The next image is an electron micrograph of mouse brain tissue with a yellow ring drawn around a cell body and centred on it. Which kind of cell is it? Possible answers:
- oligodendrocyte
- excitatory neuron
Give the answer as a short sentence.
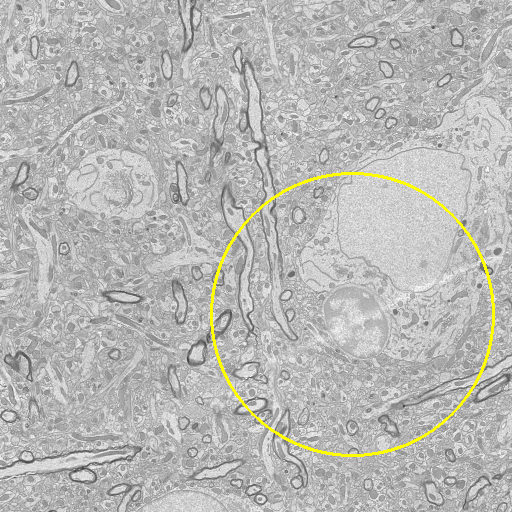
In the ring's centre is an oligodendrocyte.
